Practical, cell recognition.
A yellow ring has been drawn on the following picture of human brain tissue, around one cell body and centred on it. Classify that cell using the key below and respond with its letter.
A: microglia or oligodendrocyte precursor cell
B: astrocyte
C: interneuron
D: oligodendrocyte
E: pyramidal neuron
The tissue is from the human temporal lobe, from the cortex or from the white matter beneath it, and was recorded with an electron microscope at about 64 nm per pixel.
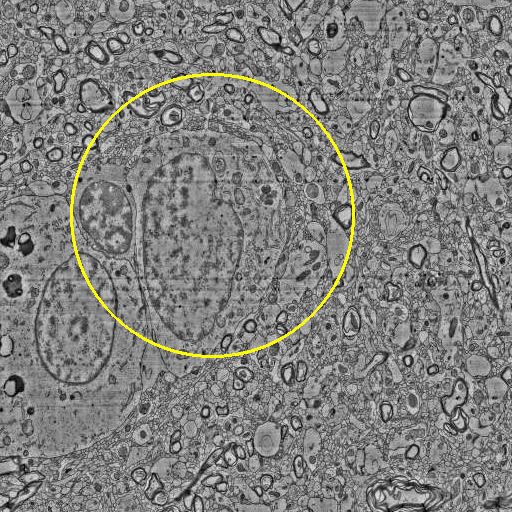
C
